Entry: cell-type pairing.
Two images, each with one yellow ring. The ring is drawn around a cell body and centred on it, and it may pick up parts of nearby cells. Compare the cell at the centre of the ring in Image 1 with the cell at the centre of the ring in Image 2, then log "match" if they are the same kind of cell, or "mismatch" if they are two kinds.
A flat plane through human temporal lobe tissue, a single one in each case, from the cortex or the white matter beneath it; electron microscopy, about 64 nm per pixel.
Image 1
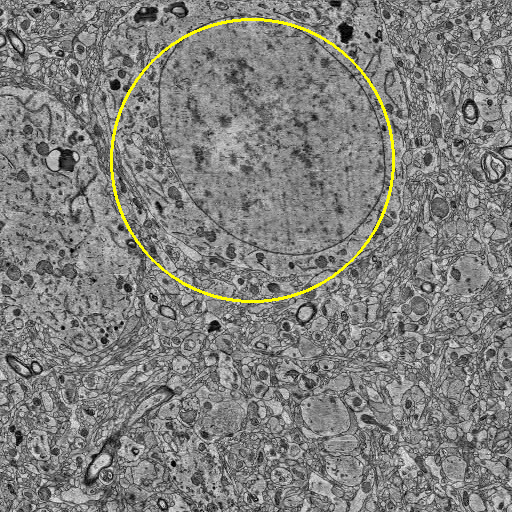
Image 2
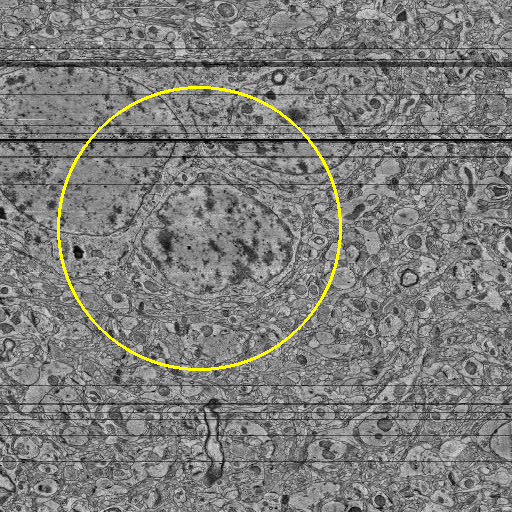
mismatch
